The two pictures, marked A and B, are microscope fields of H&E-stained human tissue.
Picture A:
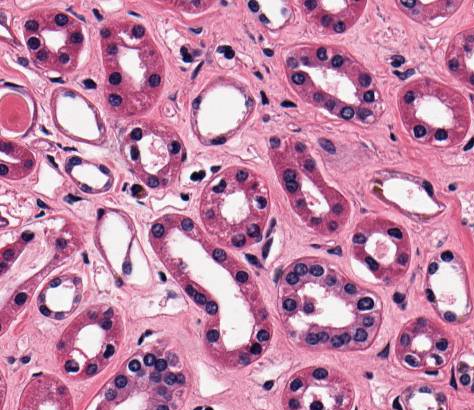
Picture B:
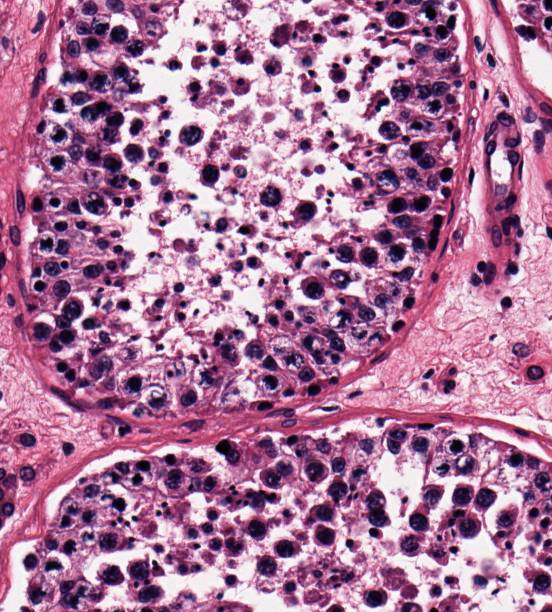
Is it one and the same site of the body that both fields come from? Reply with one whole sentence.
No. Picture A comes from the renal medulla, whereas picture B comes from the testis.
